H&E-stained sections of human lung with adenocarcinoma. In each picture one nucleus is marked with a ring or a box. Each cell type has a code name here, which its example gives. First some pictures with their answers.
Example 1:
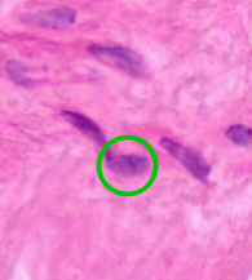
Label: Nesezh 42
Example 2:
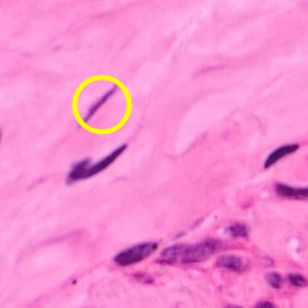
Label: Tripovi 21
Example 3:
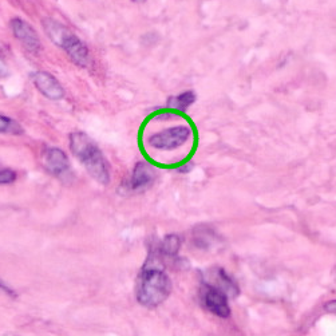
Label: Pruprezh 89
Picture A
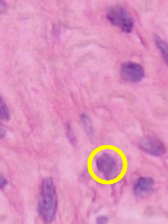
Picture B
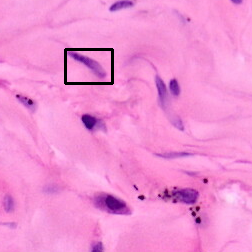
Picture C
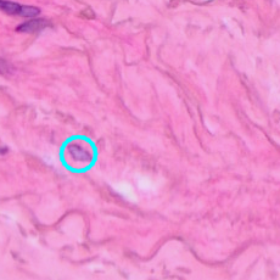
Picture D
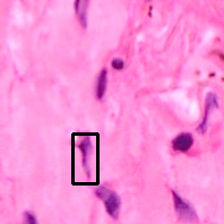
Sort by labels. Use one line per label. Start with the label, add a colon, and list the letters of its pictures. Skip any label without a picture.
Nesezh 42: A, C
Tripovi 21: B, D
